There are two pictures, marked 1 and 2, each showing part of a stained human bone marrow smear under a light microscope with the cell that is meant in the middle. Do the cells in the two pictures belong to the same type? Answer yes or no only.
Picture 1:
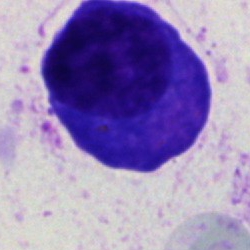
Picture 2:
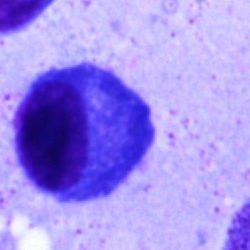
yes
